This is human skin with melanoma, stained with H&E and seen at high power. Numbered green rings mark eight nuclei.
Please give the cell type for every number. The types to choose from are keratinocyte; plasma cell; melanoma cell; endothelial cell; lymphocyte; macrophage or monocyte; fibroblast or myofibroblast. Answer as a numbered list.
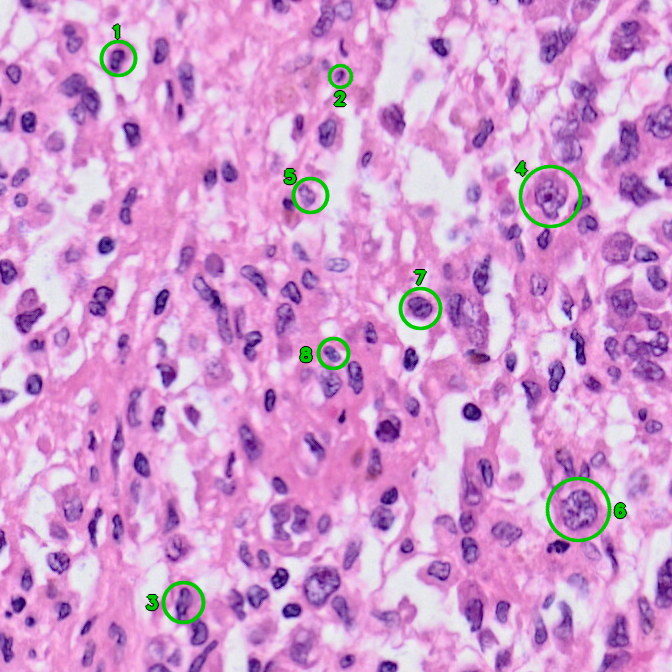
1. macrophage or monocyte
2. macrophage or monocyte
3. macrophage or monocyte
4. melanoma cell
5. macrophage or monocyte
6. melanoma cell
7. macrophage or monocyte
8. lymphocyte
